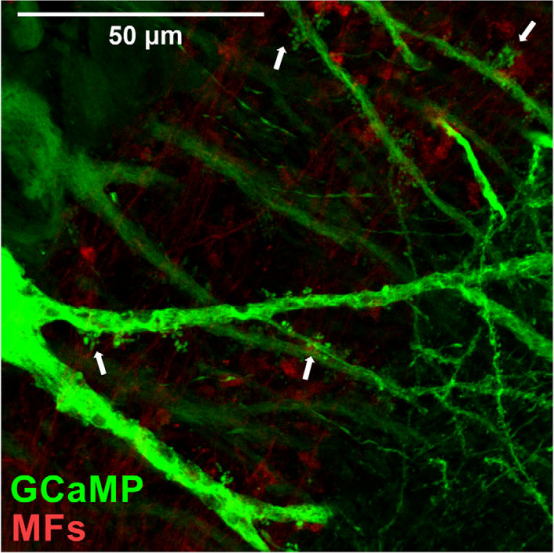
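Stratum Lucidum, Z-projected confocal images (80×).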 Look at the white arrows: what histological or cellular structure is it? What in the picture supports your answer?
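The arrows point to clusters of small green knobs attached to thick green dendrites.
Answer: thorny excrescences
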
